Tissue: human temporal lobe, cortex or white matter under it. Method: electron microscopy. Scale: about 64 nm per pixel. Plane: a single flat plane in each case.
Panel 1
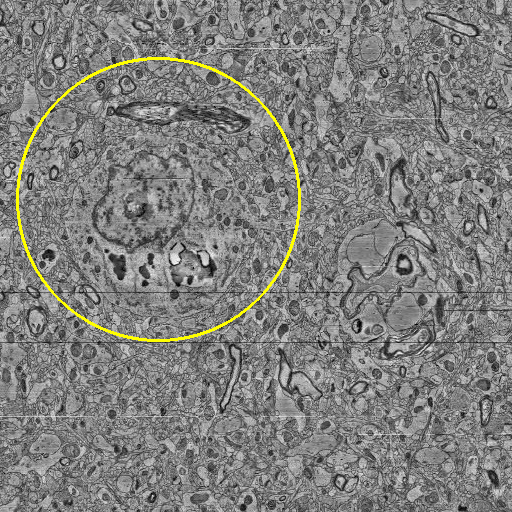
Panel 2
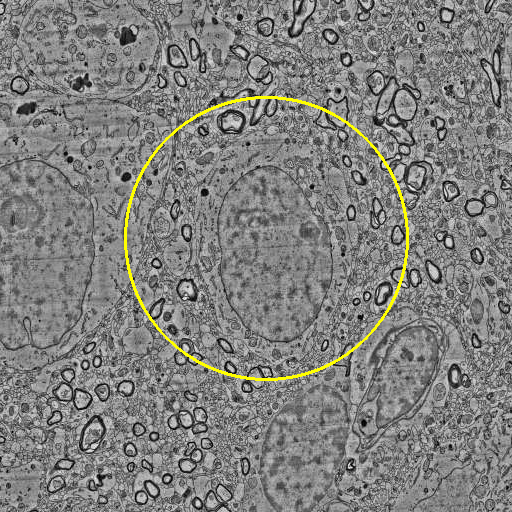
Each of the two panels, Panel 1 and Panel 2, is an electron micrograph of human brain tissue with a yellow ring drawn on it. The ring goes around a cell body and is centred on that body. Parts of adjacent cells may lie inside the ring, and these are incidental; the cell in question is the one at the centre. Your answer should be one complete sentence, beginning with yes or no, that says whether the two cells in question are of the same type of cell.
Yes, the two cells are of the same type.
